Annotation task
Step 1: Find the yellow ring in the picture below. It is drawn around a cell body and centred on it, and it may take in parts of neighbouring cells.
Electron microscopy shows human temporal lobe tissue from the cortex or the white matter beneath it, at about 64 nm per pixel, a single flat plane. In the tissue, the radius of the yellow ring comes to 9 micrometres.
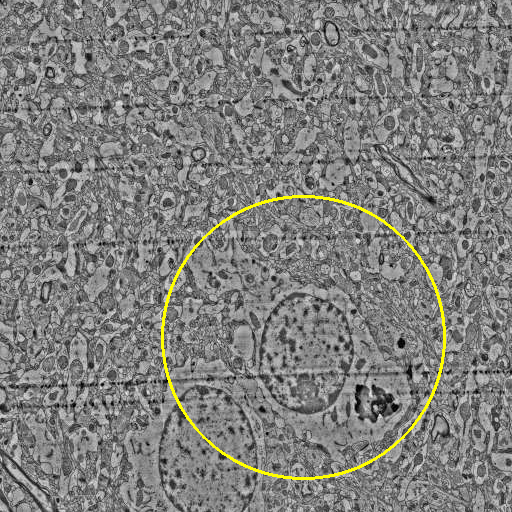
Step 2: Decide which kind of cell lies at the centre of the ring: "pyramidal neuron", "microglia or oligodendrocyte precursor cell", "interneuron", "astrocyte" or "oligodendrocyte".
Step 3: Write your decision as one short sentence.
The kind of cell at the ring's centre is an astrocyte.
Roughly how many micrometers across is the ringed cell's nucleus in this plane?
In this plane the nucleus is about 8 micrometres by 6.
